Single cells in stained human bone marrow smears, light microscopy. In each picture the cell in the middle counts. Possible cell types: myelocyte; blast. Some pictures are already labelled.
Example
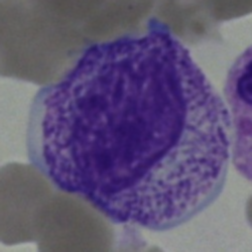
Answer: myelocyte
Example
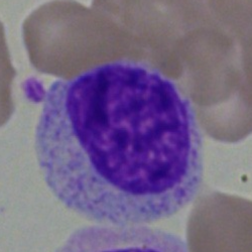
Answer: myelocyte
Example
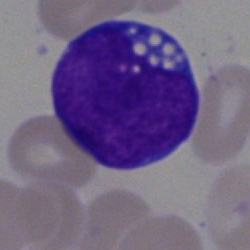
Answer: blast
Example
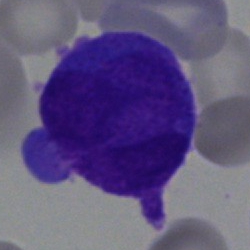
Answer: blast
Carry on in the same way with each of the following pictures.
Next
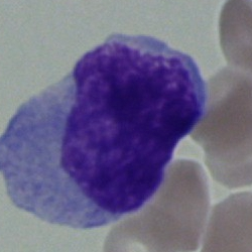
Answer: blast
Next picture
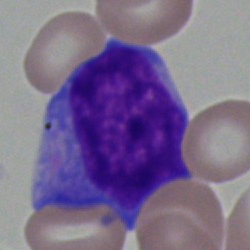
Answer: blast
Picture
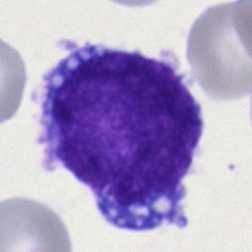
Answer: blast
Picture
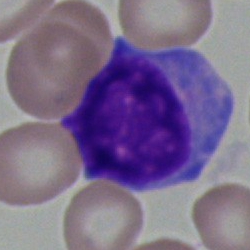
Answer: blast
